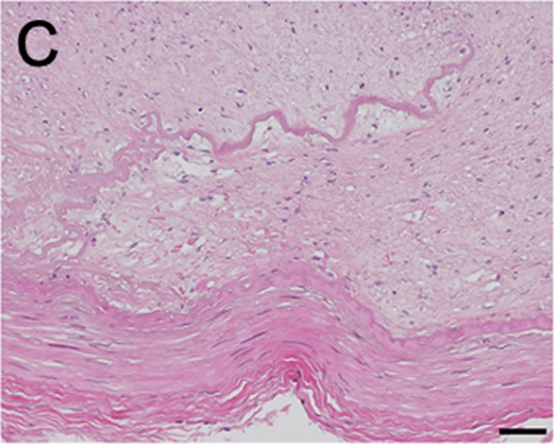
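Wall of an artery in which a compact band of densely packed, bright pink smooth muscle with elongated dark nuclei runs wavily along the lower part. Above it lies a broad, loose, pale pink thickened intima with scattered spindle-shaped and stellate nuclei and small clefts, crossed by a wavy, glassy pink line. No clusters of inflammatory cells, lipid vacuoles or calcified deposits are seen.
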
